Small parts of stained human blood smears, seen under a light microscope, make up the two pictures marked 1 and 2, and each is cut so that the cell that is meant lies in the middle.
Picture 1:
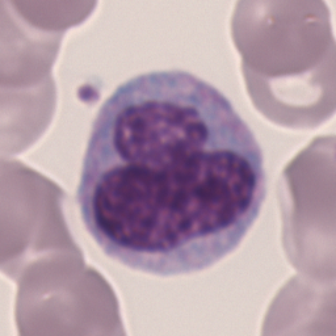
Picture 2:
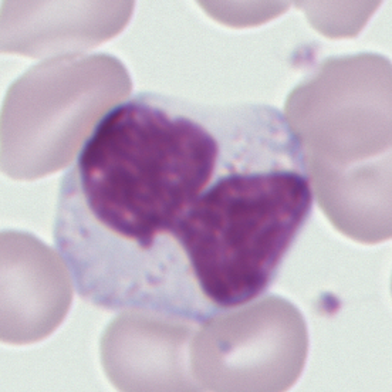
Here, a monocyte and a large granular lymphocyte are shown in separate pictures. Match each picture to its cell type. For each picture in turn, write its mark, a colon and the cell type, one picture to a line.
1: monocyte
2: large granular lymphocyte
